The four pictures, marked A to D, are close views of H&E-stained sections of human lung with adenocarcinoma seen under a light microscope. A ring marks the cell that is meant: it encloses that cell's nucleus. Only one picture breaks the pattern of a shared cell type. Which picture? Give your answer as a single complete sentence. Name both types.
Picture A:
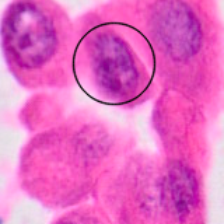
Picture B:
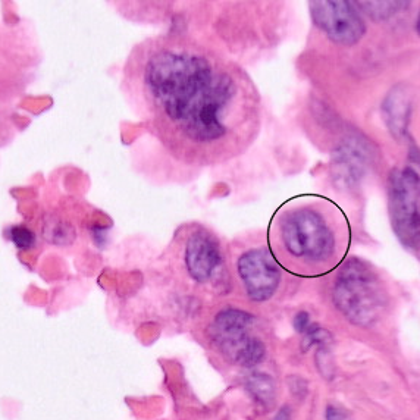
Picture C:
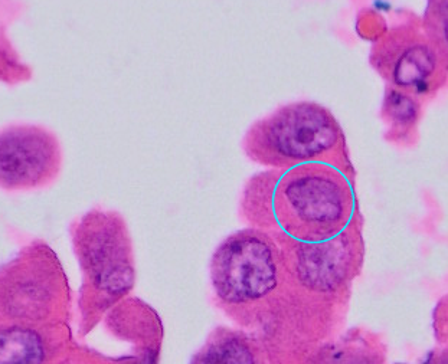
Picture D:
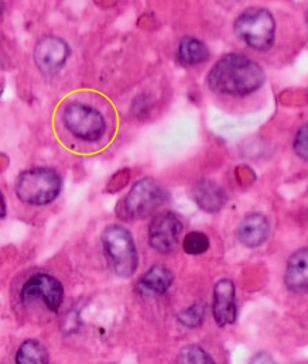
The others show carcinoma cells, but picture D shows a “macrophage or monocyte”.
